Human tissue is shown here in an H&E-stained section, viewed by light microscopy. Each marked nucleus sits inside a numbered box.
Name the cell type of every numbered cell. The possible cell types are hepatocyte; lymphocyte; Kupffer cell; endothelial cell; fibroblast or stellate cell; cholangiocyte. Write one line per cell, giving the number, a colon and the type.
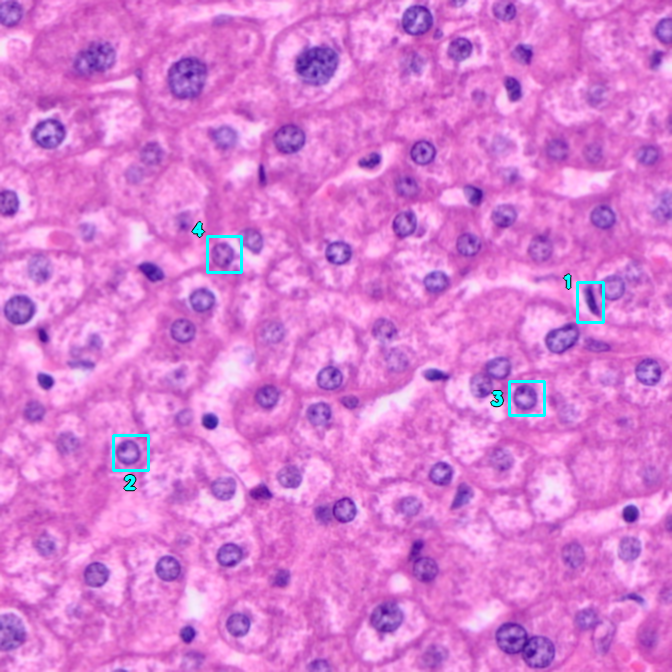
1: endothelial cell
2: hepatocyte
3: hepatocyte
4: hepatocyte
